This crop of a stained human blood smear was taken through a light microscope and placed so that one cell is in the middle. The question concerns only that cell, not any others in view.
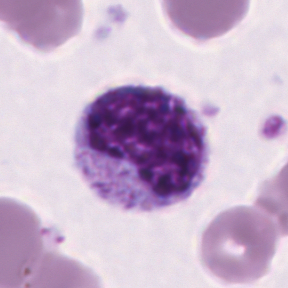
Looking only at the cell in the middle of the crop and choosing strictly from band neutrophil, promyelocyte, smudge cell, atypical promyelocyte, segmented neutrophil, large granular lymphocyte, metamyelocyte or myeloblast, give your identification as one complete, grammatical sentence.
The cell nearest the centre of this crop is a metamyelocyte.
